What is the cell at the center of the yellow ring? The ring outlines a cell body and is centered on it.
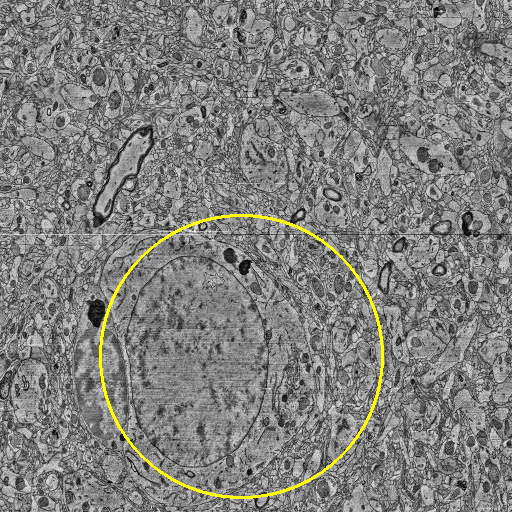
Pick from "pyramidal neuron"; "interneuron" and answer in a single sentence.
The yellow ring is centered on a pyramidal neuron.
